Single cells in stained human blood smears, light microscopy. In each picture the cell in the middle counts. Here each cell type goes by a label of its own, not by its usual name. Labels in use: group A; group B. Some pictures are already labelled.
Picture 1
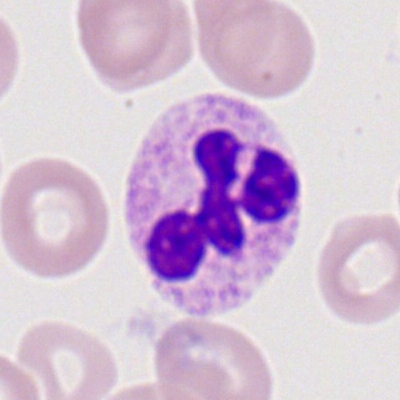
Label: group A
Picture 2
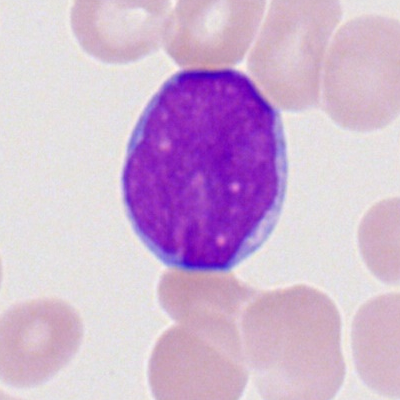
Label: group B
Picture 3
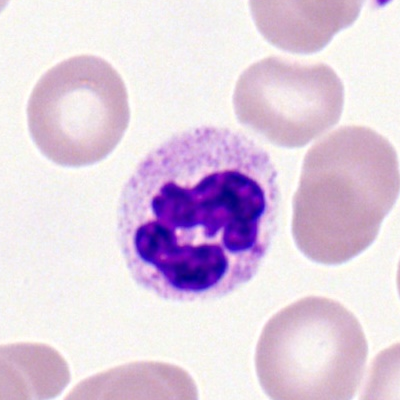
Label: group A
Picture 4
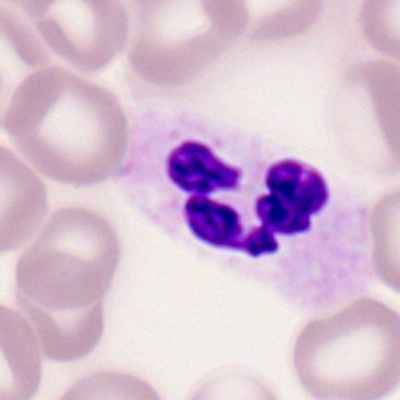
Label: group A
